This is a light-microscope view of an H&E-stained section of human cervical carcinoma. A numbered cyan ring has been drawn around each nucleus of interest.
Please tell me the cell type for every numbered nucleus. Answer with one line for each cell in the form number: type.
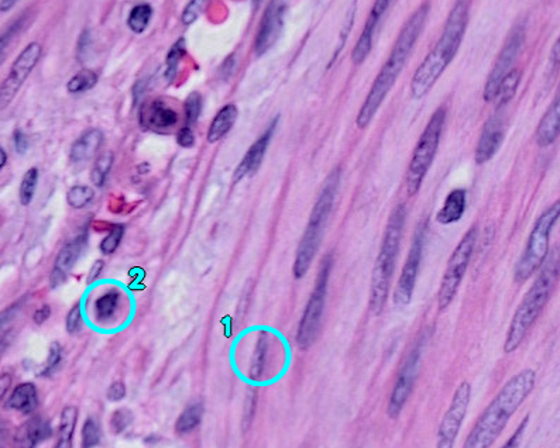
1: smooth muscle cell
2: lymphocyte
